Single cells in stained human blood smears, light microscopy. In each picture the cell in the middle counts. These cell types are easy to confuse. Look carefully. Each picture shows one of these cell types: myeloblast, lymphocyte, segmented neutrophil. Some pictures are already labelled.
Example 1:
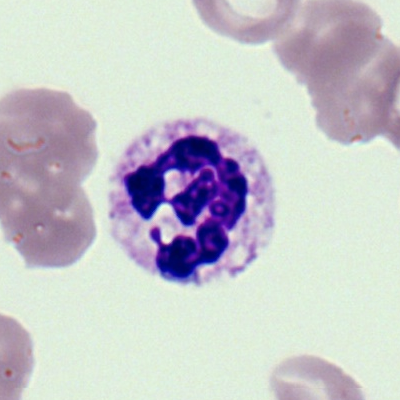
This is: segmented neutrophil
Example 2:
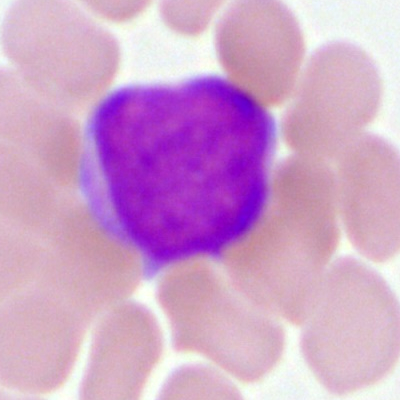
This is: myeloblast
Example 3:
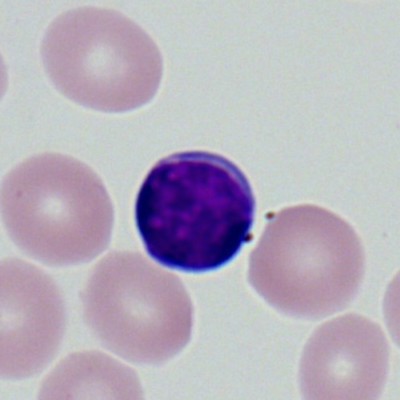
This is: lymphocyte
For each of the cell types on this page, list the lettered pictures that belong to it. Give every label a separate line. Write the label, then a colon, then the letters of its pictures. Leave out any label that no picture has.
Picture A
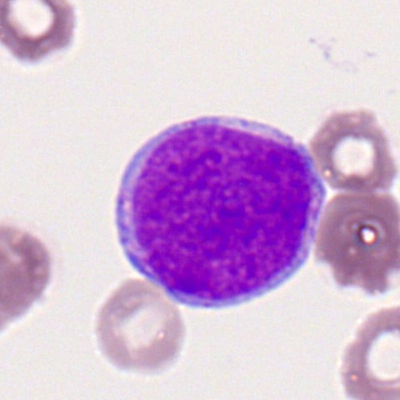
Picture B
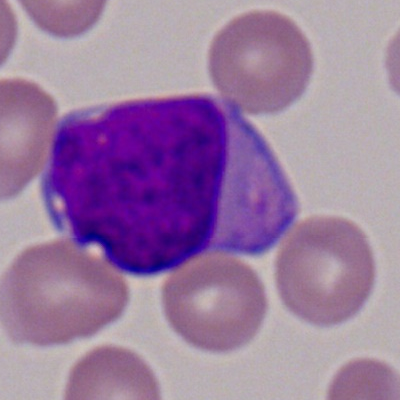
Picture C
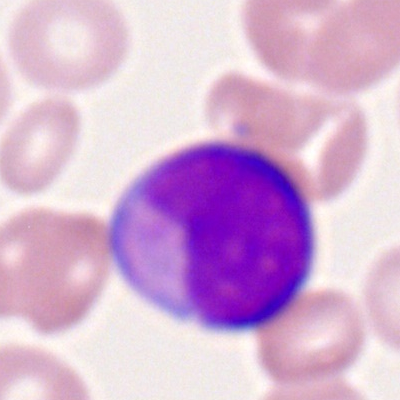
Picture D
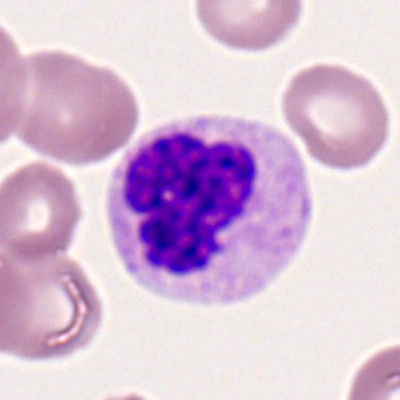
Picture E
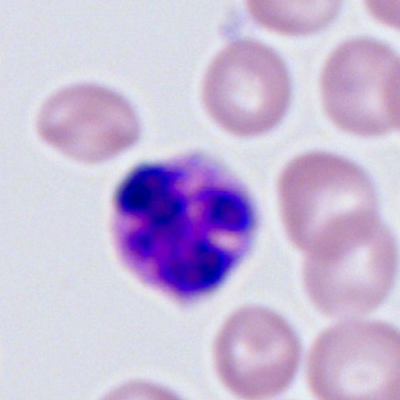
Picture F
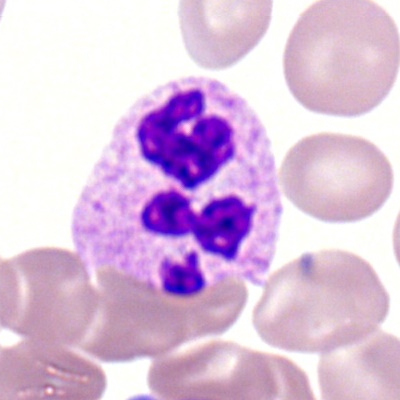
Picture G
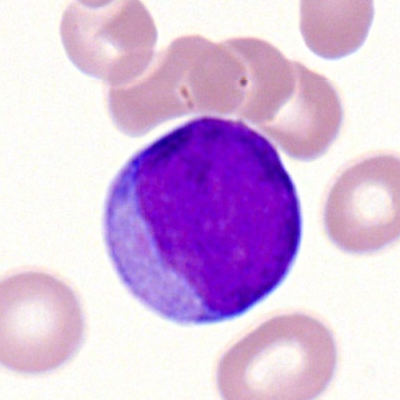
myeloblast: A, B, C, G
segmented neutrophil: D, E, F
